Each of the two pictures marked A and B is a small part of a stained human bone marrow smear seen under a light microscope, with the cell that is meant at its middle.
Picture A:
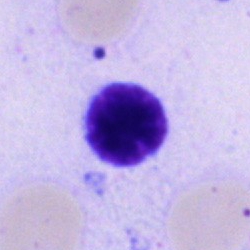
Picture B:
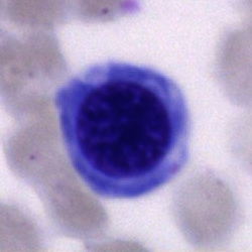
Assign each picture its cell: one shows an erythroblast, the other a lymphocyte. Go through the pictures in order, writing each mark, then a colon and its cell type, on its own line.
A: lymphocyte
B: erythroblast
